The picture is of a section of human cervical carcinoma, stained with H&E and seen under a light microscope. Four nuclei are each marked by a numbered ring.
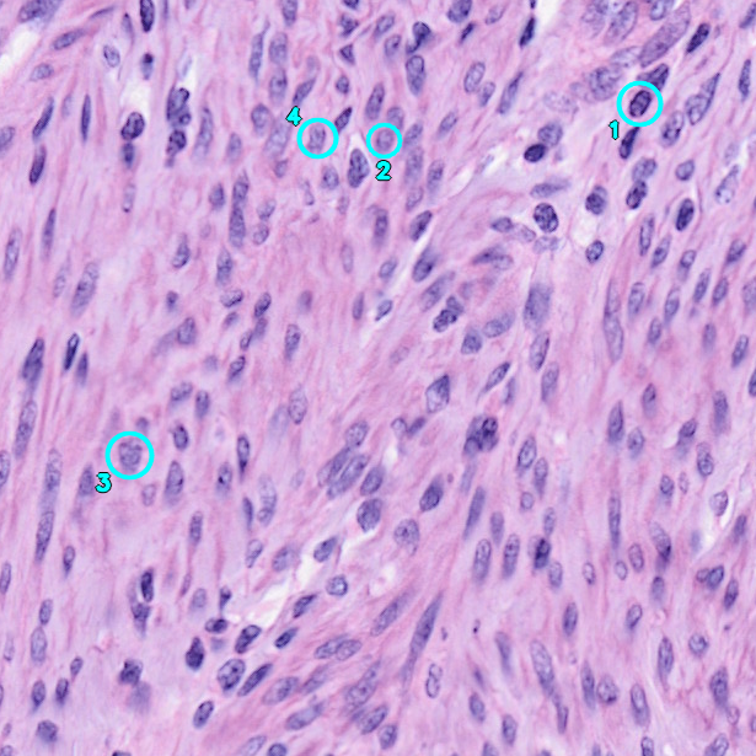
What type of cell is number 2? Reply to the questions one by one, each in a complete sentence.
The marked cell bearing number 2 is a smooth muscle cell.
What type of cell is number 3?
The cell whose nucleus carries the number 3 is a smooth muscle cell.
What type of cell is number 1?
Classified as a lymphocyte is the cell with the number 1.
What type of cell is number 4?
The cell indicated by marker 4 is a smooth muscle cell in this section.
